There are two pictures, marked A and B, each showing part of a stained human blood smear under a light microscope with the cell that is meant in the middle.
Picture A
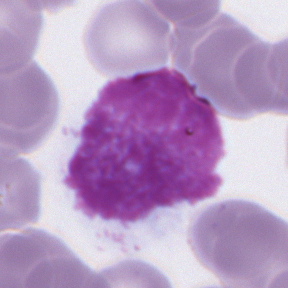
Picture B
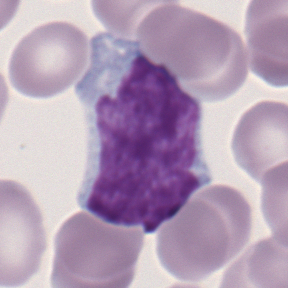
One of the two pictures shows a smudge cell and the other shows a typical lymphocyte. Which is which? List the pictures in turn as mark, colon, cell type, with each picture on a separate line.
A: smudge cell
B: typical lymphocyte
